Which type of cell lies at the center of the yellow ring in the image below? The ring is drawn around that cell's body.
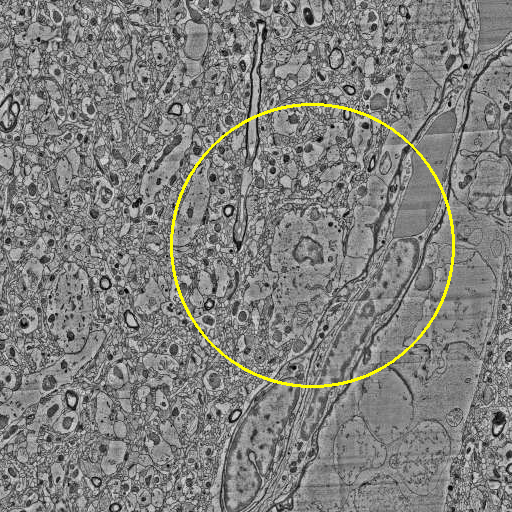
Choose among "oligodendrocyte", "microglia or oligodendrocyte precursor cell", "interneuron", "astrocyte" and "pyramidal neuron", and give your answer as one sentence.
The cell body at the center belongs to an interneuron.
